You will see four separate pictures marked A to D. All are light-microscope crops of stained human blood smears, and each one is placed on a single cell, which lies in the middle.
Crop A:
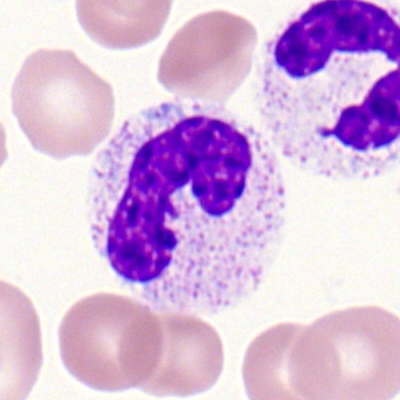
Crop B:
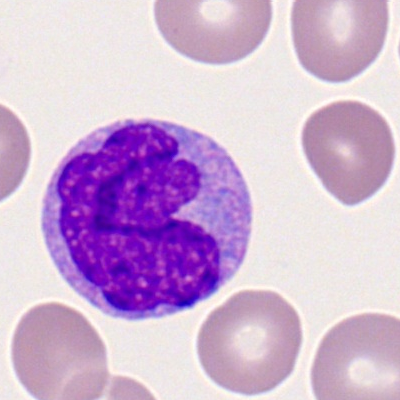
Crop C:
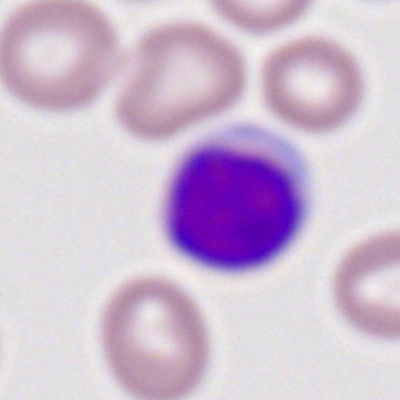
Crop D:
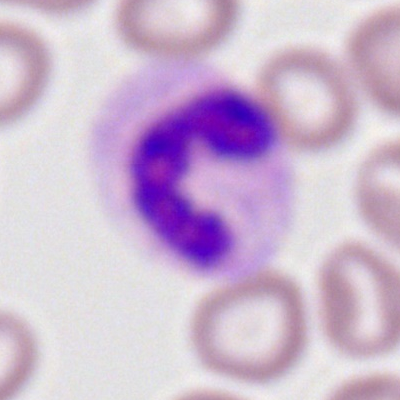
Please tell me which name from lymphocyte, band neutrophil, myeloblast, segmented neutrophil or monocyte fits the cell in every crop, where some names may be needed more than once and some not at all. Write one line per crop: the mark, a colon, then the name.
A: band neutrophil
B: monocyte
C: lymphocyte
D: band neutrophil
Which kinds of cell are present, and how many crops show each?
band neutrophil: 2
monocyte: 1
lymphocyte: 1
